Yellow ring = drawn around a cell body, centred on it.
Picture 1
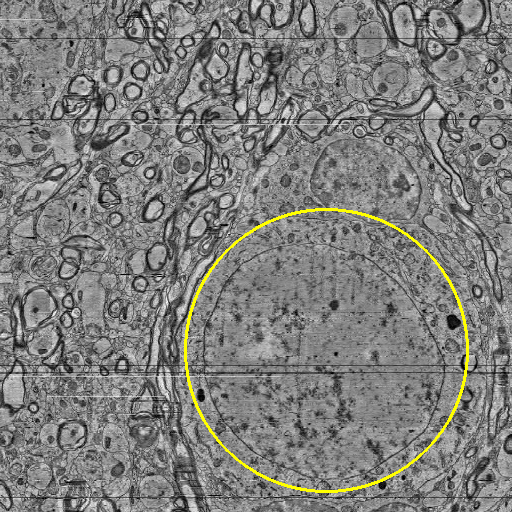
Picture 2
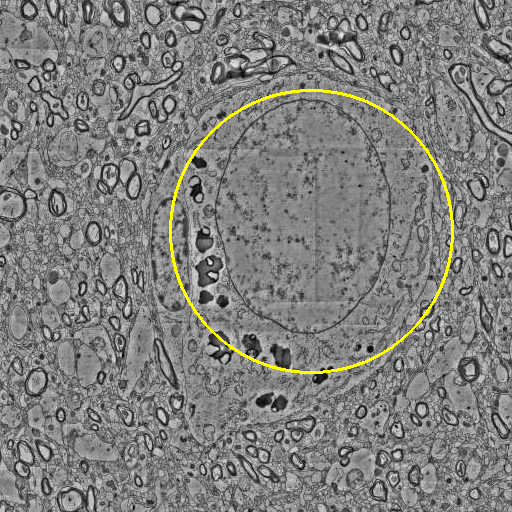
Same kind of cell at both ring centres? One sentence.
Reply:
Yes, they are the same kind of cell.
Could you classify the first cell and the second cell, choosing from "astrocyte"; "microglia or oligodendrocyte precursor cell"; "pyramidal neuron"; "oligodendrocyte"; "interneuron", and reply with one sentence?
The first and the second cell are each a pyramidal neuron.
